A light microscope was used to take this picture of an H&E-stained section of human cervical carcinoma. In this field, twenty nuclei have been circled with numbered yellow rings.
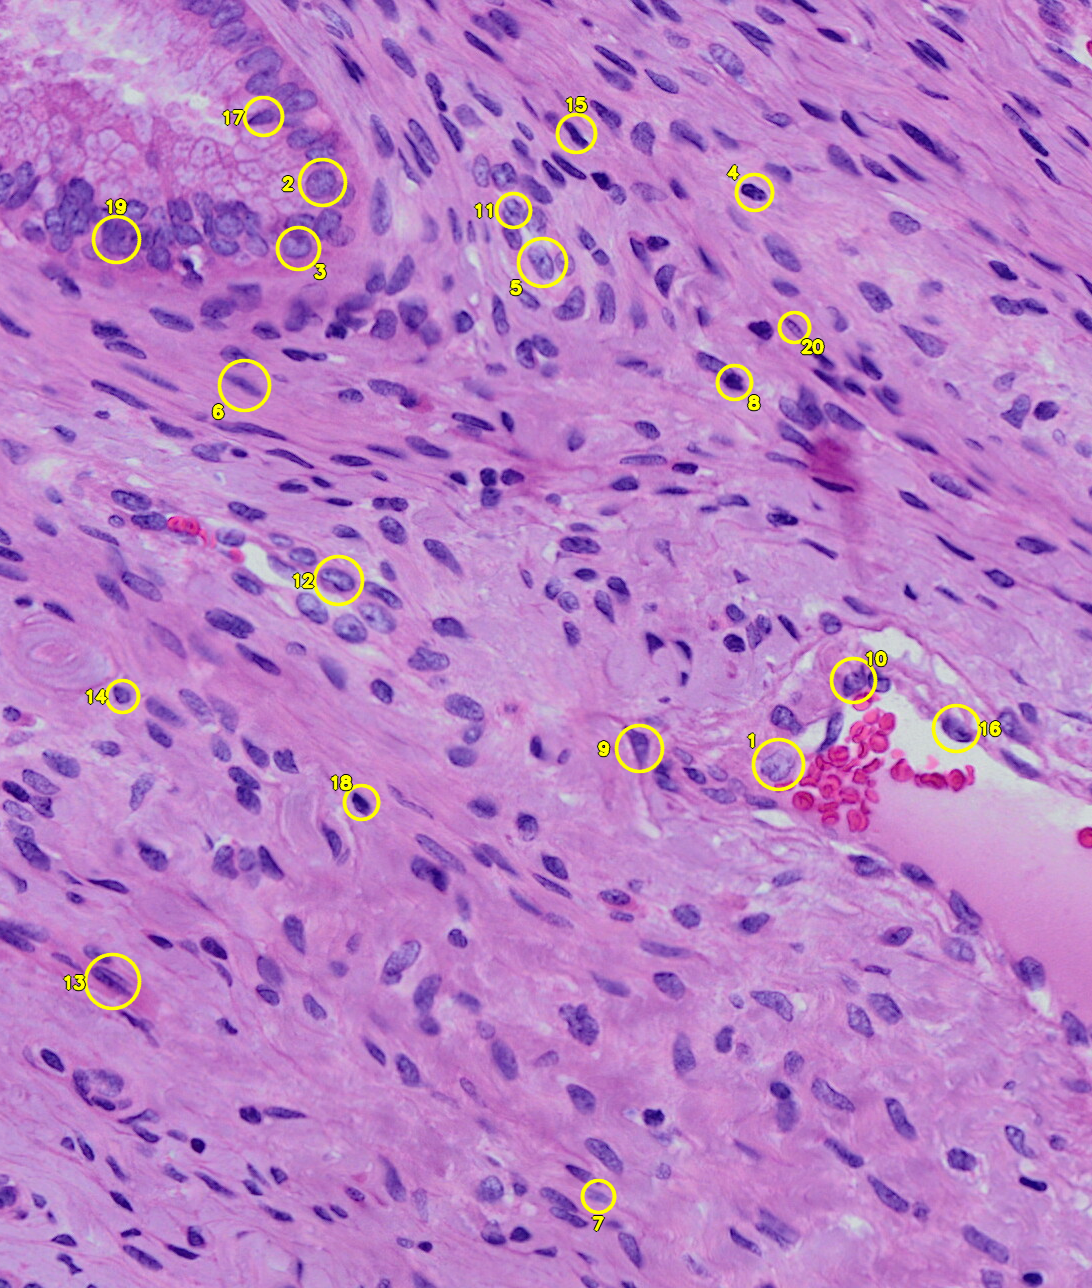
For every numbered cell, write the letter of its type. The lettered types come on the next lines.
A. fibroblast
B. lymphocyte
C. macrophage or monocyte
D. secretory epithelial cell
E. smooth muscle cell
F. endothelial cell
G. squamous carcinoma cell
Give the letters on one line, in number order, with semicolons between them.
F; D; D; B; F; A; A; B; E; F; F; F; F; A; A; F; D; B; D; A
